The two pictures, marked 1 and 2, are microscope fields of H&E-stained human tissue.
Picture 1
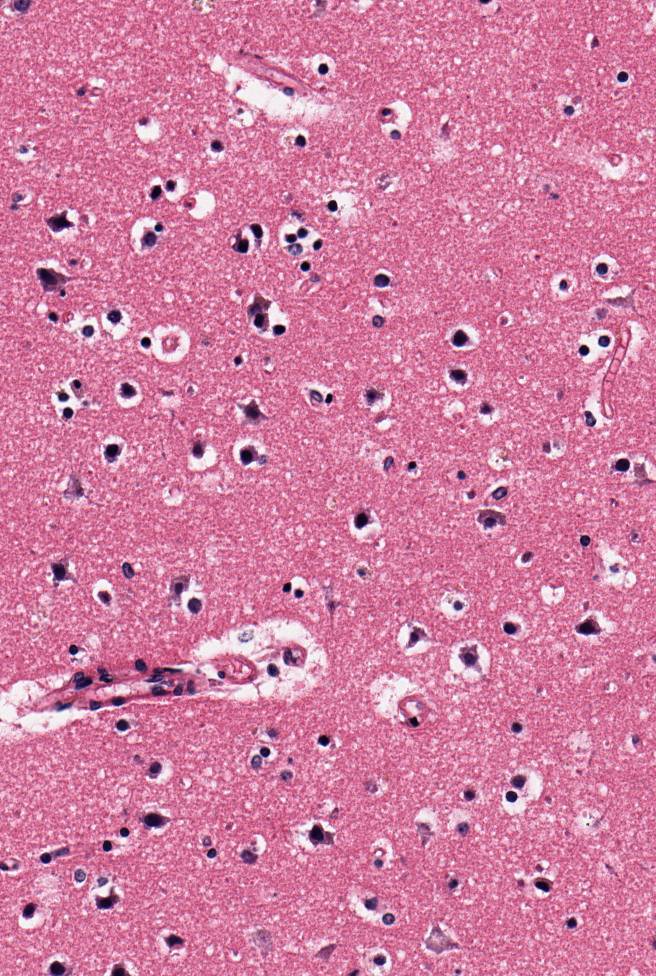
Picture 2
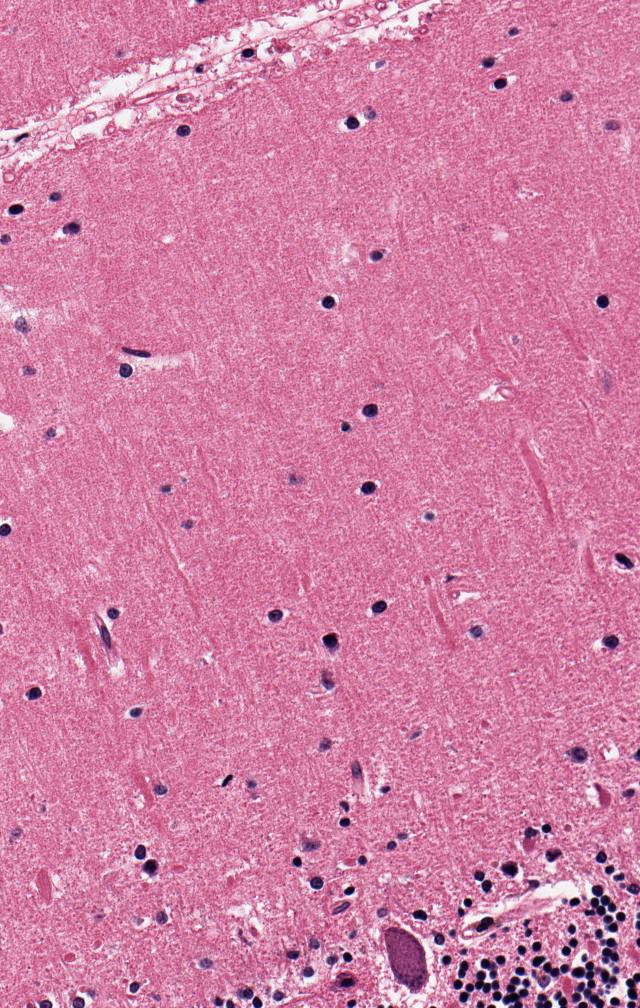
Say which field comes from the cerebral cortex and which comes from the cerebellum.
1: cerebral cortex
2: cerebellum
